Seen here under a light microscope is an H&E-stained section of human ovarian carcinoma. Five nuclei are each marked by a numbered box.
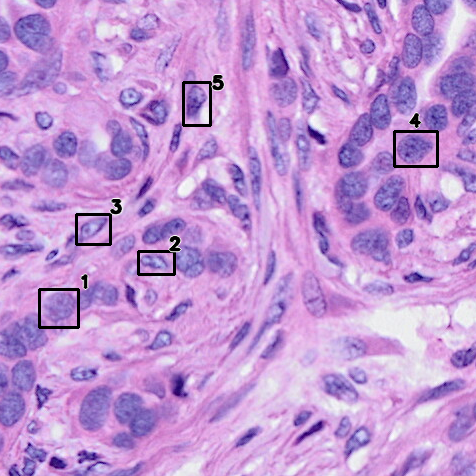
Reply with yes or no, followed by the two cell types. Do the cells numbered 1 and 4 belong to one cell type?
Yes, both are carcinoma cells.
